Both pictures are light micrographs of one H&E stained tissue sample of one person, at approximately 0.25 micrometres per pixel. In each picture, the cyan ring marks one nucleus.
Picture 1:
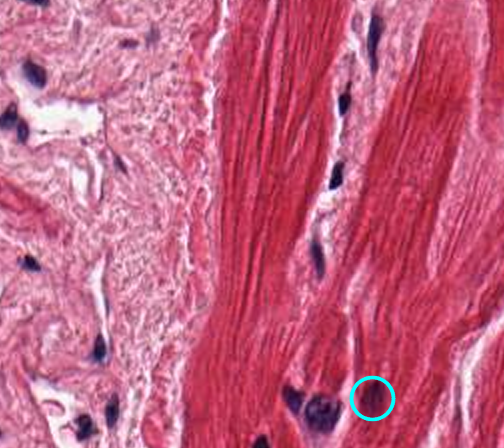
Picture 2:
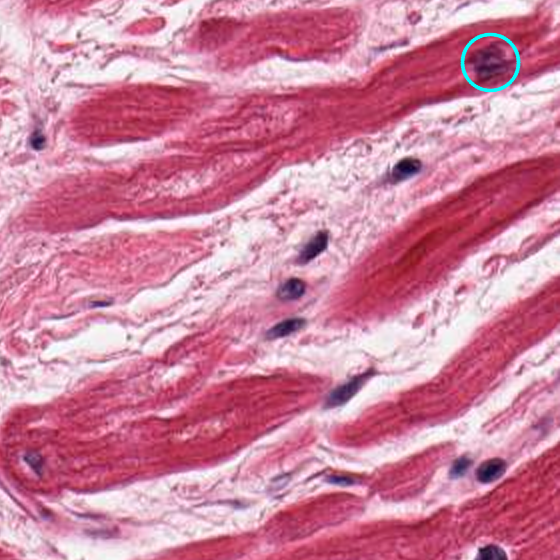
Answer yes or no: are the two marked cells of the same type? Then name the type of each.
Yes, both are cardiomyocytes.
